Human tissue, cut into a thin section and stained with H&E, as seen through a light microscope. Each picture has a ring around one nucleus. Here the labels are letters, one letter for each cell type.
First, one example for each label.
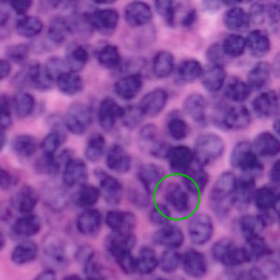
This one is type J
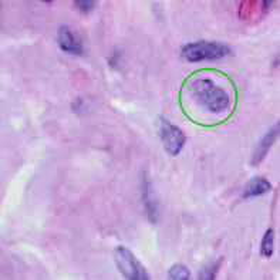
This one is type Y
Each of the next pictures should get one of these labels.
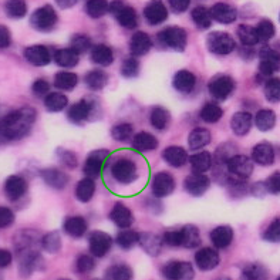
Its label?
type J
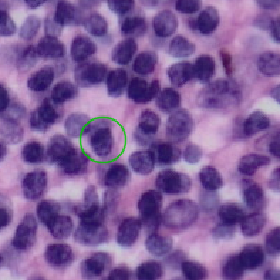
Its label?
type J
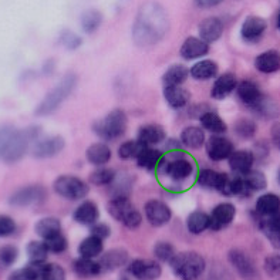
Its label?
type J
